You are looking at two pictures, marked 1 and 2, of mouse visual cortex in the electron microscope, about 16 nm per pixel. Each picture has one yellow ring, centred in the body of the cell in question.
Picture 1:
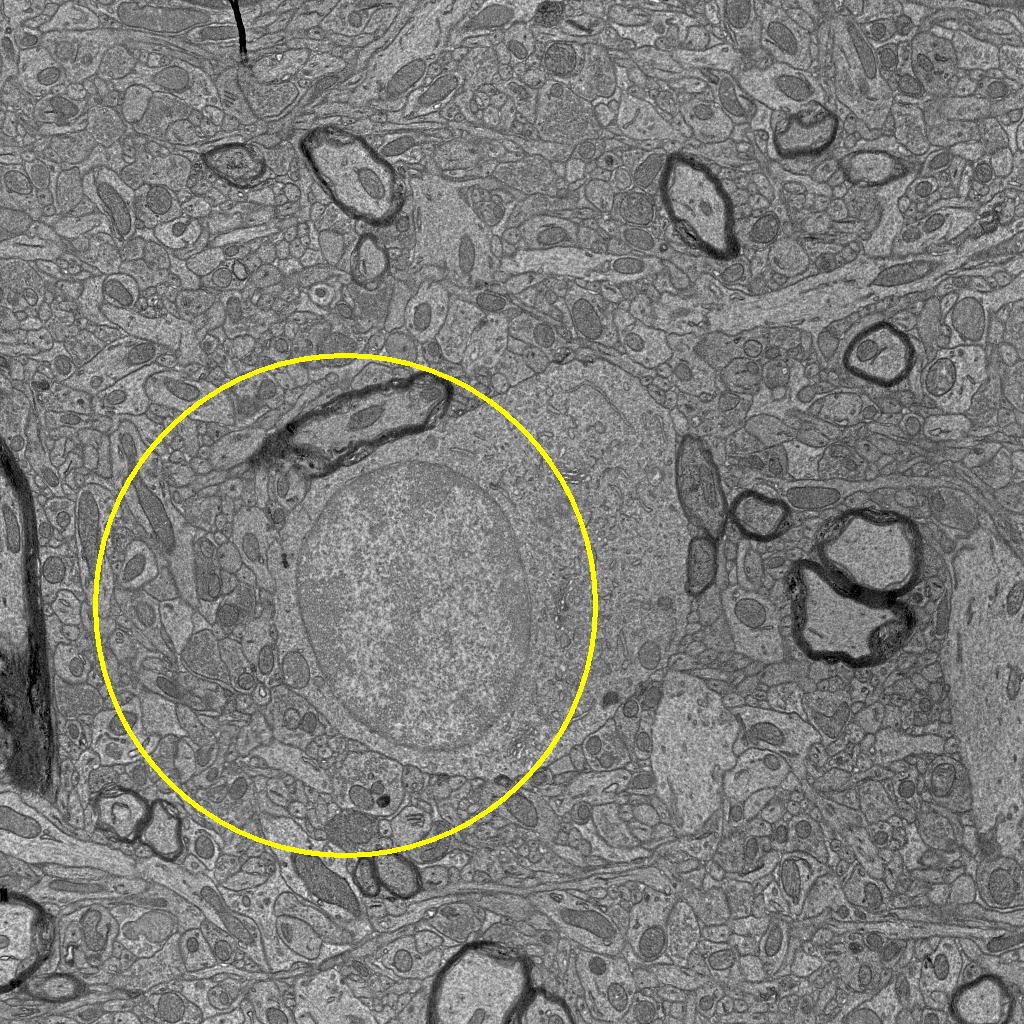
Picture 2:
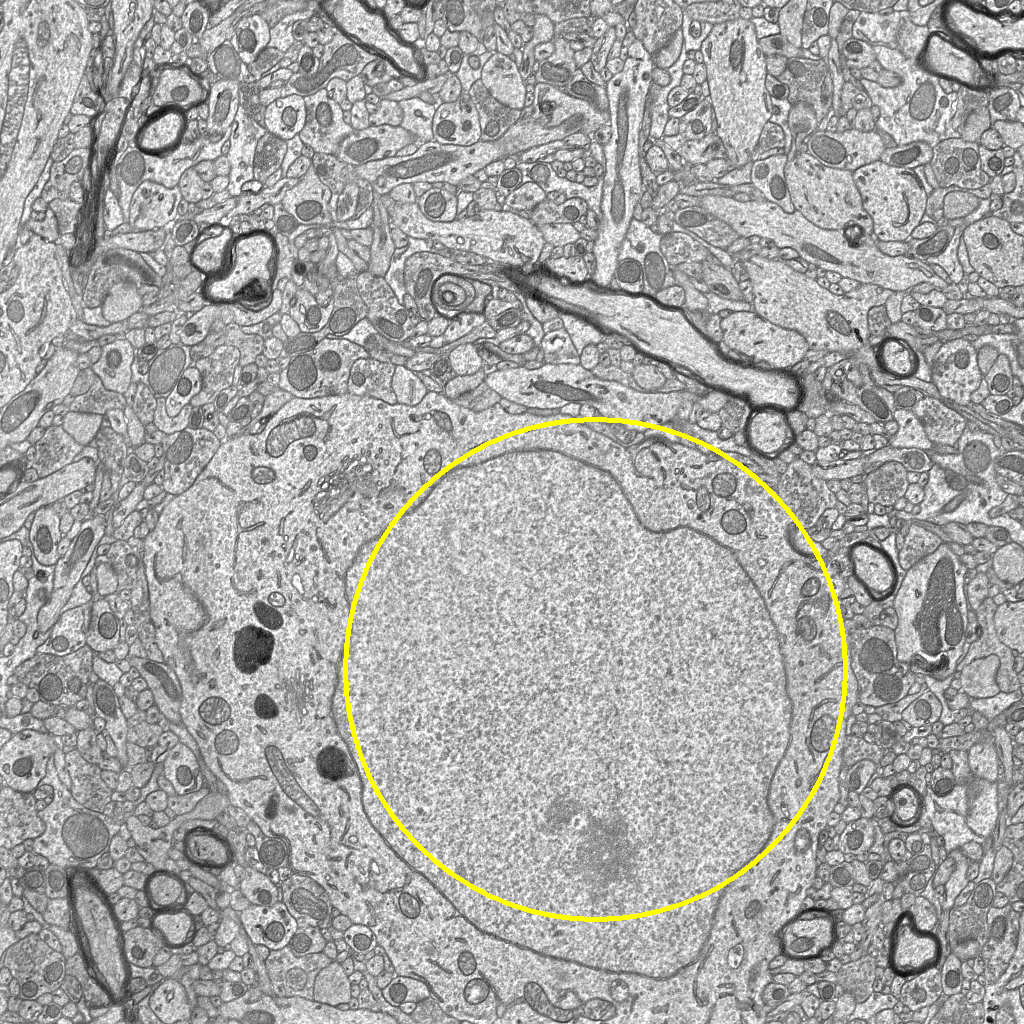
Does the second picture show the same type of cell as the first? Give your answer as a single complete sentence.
No; the cell in picture 1 is an oligodendrocyte, while the one in picture 2 is an excitatory neuron.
